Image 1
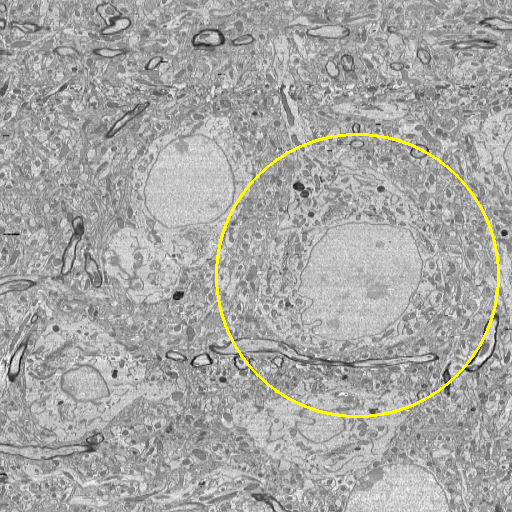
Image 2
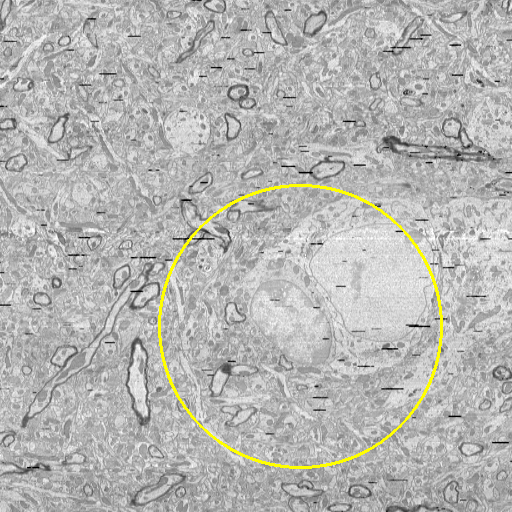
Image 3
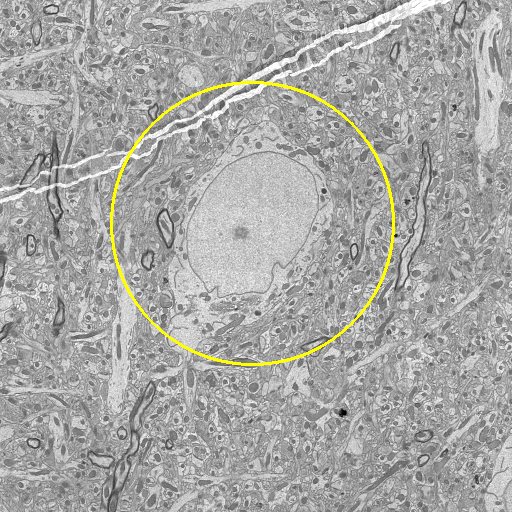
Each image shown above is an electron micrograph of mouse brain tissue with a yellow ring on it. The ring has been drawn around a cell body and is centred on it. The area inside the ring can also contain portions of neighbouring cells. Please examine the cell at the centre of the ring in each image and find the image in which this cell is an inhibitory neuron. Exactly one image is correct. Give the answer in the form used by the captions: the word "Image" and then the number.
Image 1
